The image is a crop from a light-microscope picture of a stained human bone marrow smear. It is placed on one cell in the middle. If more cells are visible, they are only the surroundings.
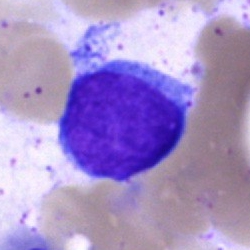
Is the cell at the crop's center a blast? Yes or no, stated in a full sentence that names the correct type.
No, it is a lymphocyte rather than a blast that the middle of the crop contains.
